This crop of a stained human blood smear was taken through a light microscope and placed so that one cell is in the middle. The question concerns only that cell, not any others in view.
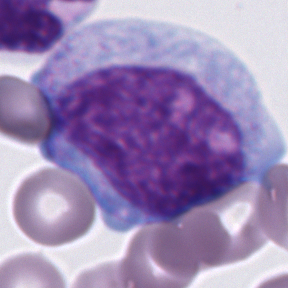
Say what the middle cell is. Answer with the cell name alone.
promyelocyte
